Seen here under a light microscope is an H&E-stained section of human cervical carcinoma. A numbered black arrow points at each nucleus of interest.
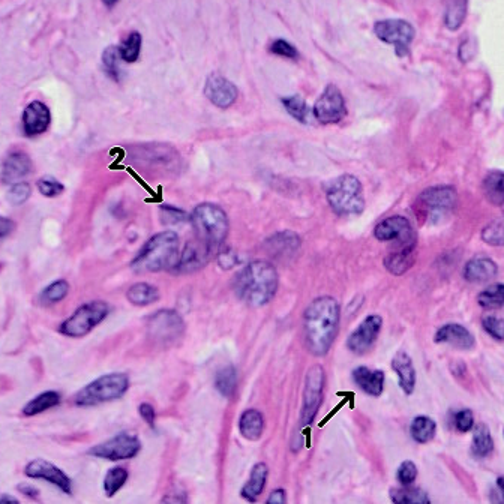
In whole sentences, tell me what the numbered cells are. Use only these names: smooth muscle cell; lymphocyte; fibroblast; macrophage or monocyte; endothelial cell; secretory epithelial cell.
Cell 1 is a lymphocyte and cell 2 is an endothelial cell.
